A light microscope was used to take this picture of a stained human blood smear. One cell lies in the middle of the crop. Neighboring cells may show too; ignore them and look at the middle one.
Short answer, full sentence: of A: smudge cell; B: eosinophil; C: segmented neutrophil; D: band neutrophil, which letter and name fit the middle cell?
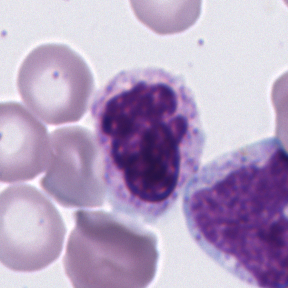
That the central cell is a segmented neutrophil makes option C correct.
